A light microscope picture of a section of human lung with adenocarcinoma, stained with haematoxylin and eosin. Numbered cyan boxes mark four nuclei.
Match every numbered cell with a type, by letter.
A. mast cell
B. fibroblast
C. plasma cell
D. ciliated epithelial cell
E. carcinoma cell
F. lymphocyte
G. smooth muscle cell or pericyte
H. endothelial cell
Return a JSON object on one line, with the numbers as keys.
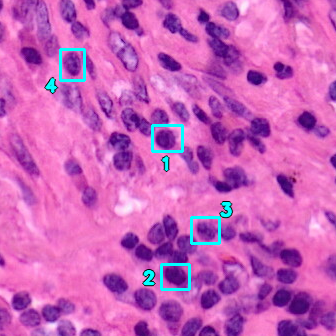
{"1": "F", "2": "C", "3": "F", "4": "F"}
